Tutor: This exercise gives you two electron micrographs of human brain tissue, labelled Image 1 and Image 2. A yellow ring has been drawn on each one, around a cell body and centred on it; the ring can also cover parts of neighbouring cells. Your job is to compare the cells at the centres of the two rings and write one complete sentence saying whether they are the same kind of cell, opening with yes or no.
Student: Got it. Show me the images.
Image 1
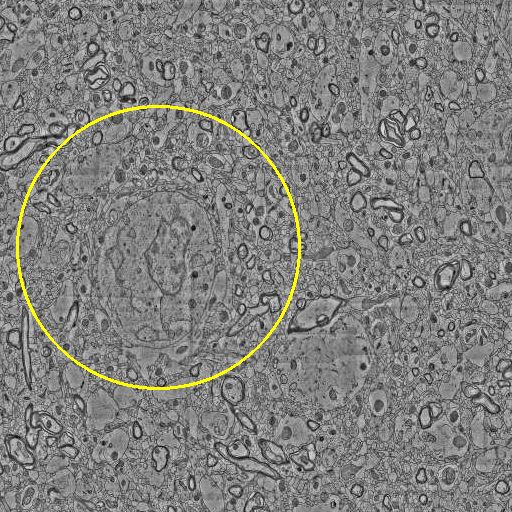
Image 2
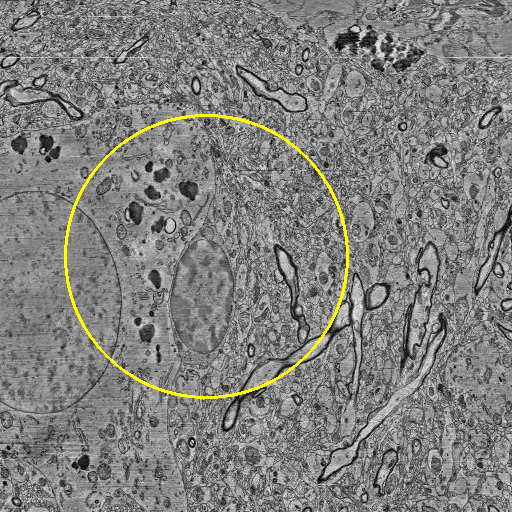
No, the two cells belong to two kinds.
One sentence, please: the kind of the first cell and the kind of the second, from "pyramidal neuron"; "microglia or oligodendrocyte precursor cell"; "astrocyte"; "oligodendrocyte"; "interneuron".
The ring in the first picture surrounds a pyramidal neuron, and the ring in the second surrounds an oligodendrocyte.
